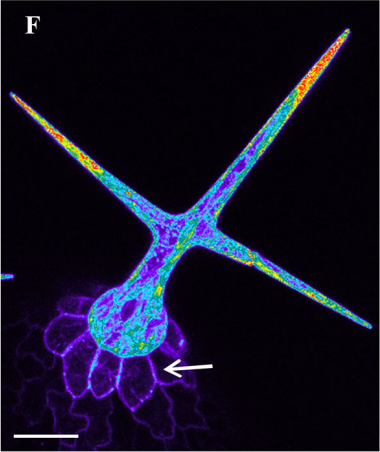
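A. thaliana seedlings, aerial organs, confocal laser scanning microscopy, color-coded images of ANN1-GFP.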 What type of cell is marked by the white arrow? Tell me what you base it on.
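The arrow points to a ring of small cells encircling the swollen base of the branched cell. These small cells are dimmer, mostly purple, than the branched cell above them. So: basal cells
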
